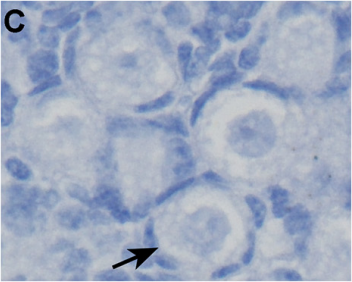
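This enlarged view of ovarian tissue shows primordial follicles, each made of a small oocyte surrounded by flattened pre-granulosa cells. The oocytes are round, with pale, finely granular cytoplasm and a round, centrally placed nucleus that stains slightly more blue. Around each oocyte lies a thin rim of flat cells whose nuclei are elongated and stain darker blue. Between the follicles lie small, darker-staining cells of the surrounding tissue. The follicles appear as separate units, each oocyte set apart from its neighbours by its own rim of flat cells.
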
